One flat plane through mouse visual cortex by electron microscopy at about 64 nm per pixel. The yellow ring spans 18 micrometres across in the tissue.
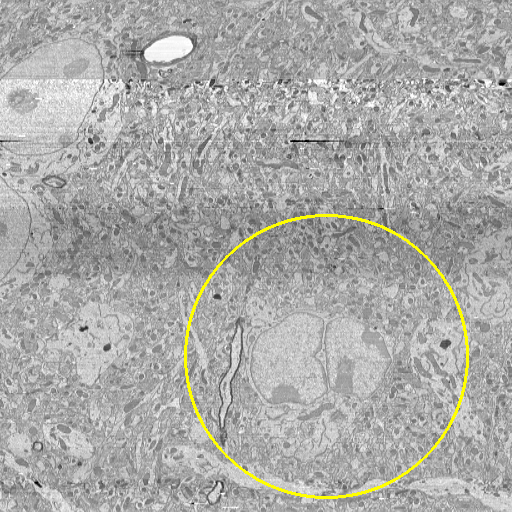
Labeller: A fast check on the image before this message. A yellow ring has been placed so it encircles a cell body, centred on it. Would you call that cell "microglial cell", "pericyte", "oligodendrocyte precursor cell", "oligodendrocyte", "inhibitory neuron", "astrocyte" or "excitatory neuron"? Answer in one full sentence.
In this image, an oligodendrocyte precursor cell is the cell on which the yellow ring is centred.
